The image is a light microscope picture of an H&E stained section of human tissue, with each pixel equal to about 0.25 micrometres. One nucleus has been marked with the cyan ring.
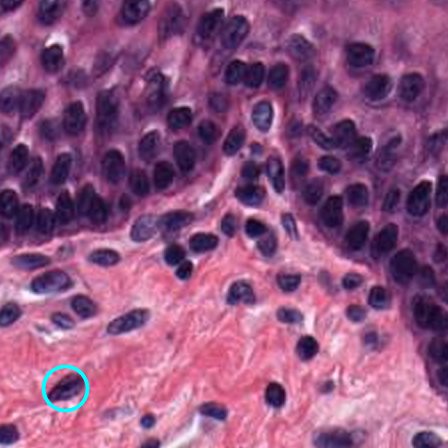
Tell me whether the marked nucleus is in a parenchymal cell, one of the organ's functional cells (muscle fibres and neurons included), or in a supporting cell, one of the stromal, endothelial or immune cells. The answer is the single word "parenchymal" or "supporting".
supporting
